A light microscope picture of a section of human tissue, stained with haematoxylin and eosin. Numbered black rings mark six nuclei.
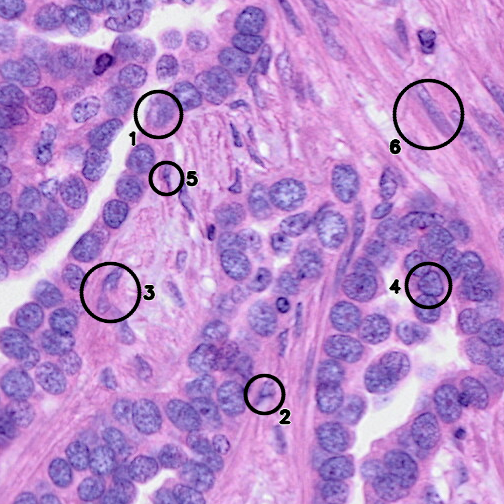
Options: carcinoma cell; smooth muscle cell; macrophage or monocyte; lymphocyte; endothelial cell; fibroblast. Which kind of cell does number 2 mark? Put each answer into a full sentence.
Cell 2 in the field of view is a fibroblast.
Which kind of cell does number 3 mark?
The cell with the number 3 is a fibroblast.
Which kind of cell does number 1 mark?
The cell that goes by number 1 is a carcinoma cell.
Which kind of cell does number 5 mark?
Within this field of view, the cell labelled 5 is a fibroblast.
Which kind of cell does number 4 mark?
The cell given label 4 is a carcinoma cell.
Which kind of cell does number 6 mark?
The cell identified by number 6 is a fibroblast.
